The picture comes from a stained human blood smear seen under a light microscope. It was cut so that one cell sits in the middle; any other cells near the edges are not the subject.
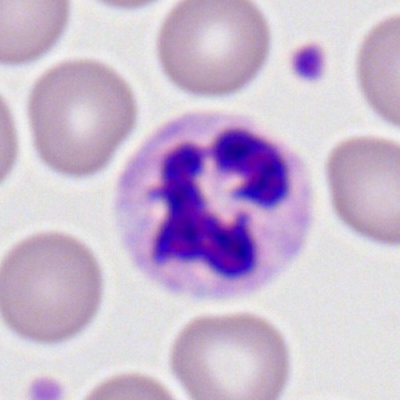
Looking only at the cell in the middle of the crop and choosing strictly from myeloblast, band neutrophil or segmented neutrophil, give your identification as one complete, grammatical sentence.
The cell the crop is centered on is a segmented neutrophil.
